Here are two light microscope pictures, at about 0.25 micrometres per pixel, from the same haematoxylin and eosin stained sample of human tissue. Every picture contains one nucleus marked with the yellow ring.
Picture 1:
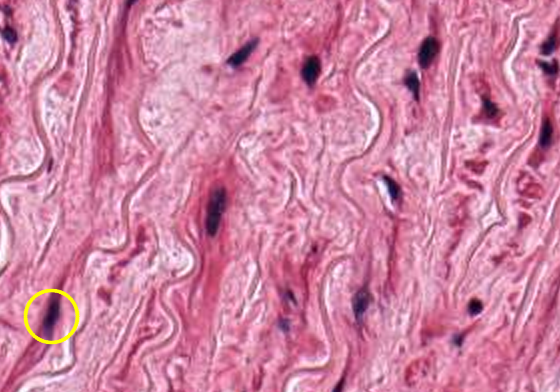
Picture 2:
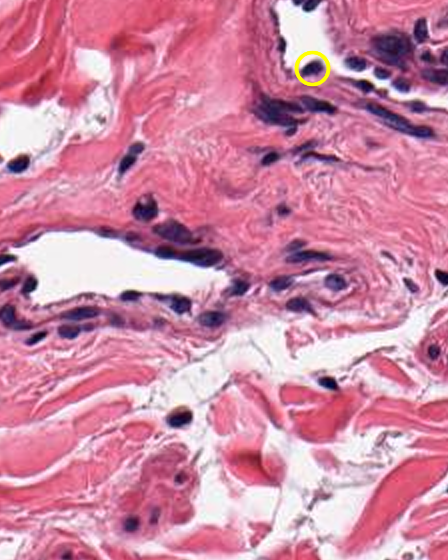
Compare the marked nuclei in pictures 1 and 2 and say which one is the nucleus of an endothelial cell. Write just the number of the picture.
2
